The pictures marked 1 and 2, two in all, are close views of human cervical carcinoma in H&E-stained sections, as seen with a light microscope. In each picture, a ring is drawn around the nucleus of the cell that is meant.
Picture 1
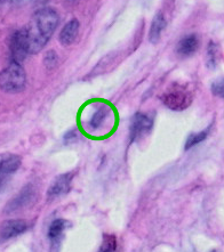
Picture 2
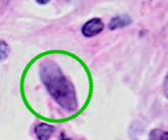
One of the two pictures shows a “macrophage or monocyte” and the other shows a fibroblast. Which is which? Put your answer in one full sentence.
The cell in picture 1 is a fibroblast, and the one in picture 2 is a “macrophage or monocyte”.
